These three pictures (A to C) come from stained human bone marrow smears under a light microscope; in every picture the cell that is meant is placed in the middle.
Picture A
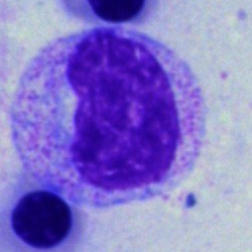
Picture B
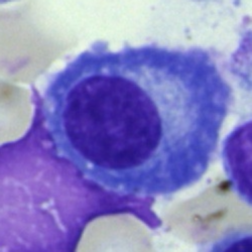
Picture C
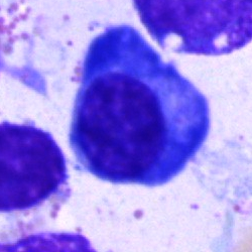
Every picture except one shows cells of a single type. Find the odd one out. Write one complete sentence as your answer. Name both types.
The different one is picture A; it shows a myelocyte, whereas all the others show plasma cells.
